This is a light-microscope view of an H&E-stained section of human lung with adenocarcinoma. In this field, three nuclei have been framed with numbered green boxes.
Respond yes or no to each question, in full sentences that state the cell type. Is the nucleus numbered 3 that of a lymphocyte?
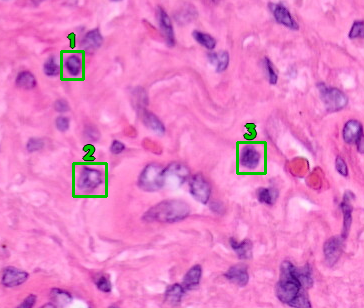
Yes, the cell sitting at number 3 is a lymphocyte.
